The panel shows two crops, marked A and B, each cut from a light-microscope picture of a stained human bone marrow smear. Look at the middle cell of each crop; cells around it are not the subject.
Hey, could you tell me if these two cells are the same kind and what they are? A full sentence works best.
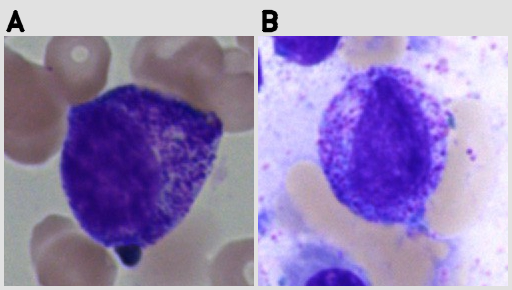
Yes, both of the crops in this pair show myelocytes, one cell in each crop.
